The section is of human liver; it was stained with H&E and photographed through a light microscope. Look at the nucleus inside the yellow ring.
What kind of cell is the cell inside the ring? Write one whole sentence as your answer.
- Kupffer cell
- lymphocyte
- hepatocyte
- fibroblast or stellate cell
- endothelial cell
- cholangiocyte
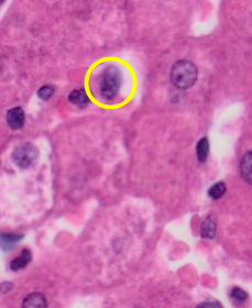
In the tissue under study, the cell inside the ring is a Kupffer cell.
